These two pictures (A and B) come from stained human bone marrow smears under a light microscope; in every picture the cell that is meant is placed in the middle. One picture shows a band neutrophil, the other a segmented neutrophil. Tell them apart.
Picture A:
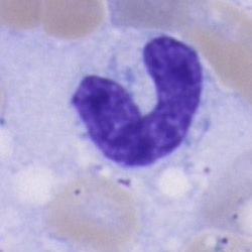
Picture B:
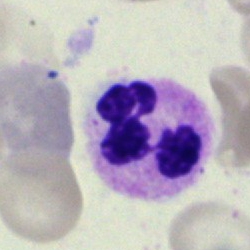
A: band neutrophil
B: segmented neutrophil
